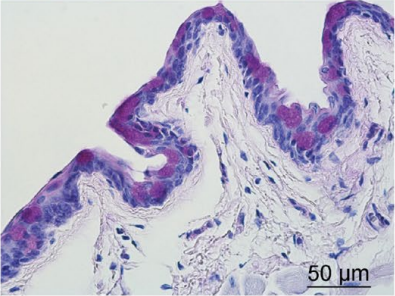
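Thin folded epithelium with scattered goblet cells holding magenta mucin among cells with dark blue nuclei. Beneath it lies loose, pale connective tissue with wavy pink fibres and sparse elongated nuclei.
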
